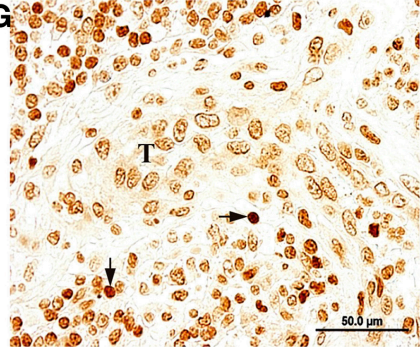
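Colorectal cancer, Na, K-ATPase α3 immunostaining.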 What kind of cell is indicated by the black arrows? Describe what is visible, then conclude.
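Immune cells. Arrowed cells are small and round with dense, darkly stained nuclei. They are smaller than the large oval pale-chromatin nuclei nearby.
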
